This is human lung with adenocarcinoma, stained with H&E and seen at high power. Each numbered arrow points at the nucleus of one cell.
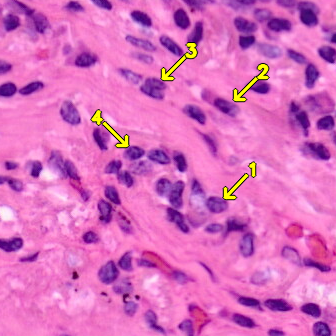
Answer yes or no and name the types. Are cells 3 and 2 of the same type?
No, while cell 3 is a lymphocyte, cell 2 is a plasma cell.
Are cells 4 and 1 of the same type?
Yes, cell 4 is among the lymphocytes, and cell 1 is as well.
